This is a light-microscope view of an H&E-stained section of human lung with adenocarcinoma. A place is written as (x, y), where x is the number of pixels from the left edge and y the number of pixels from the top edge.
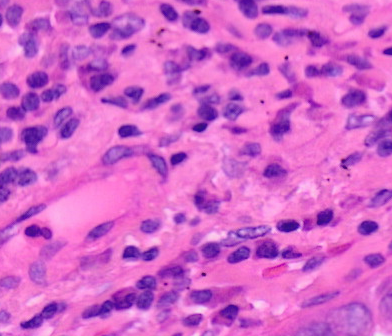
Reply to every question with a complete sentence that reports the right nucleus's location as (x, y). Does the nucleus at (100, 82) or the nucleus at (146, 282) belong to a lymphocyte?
The nucleus positioned at (146, 282) forms part of a lymphocyte.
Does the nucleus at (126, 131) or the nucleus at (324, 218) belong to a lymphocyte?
It is the nucleus at (126, 131) that forms part of a lymphocyte.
